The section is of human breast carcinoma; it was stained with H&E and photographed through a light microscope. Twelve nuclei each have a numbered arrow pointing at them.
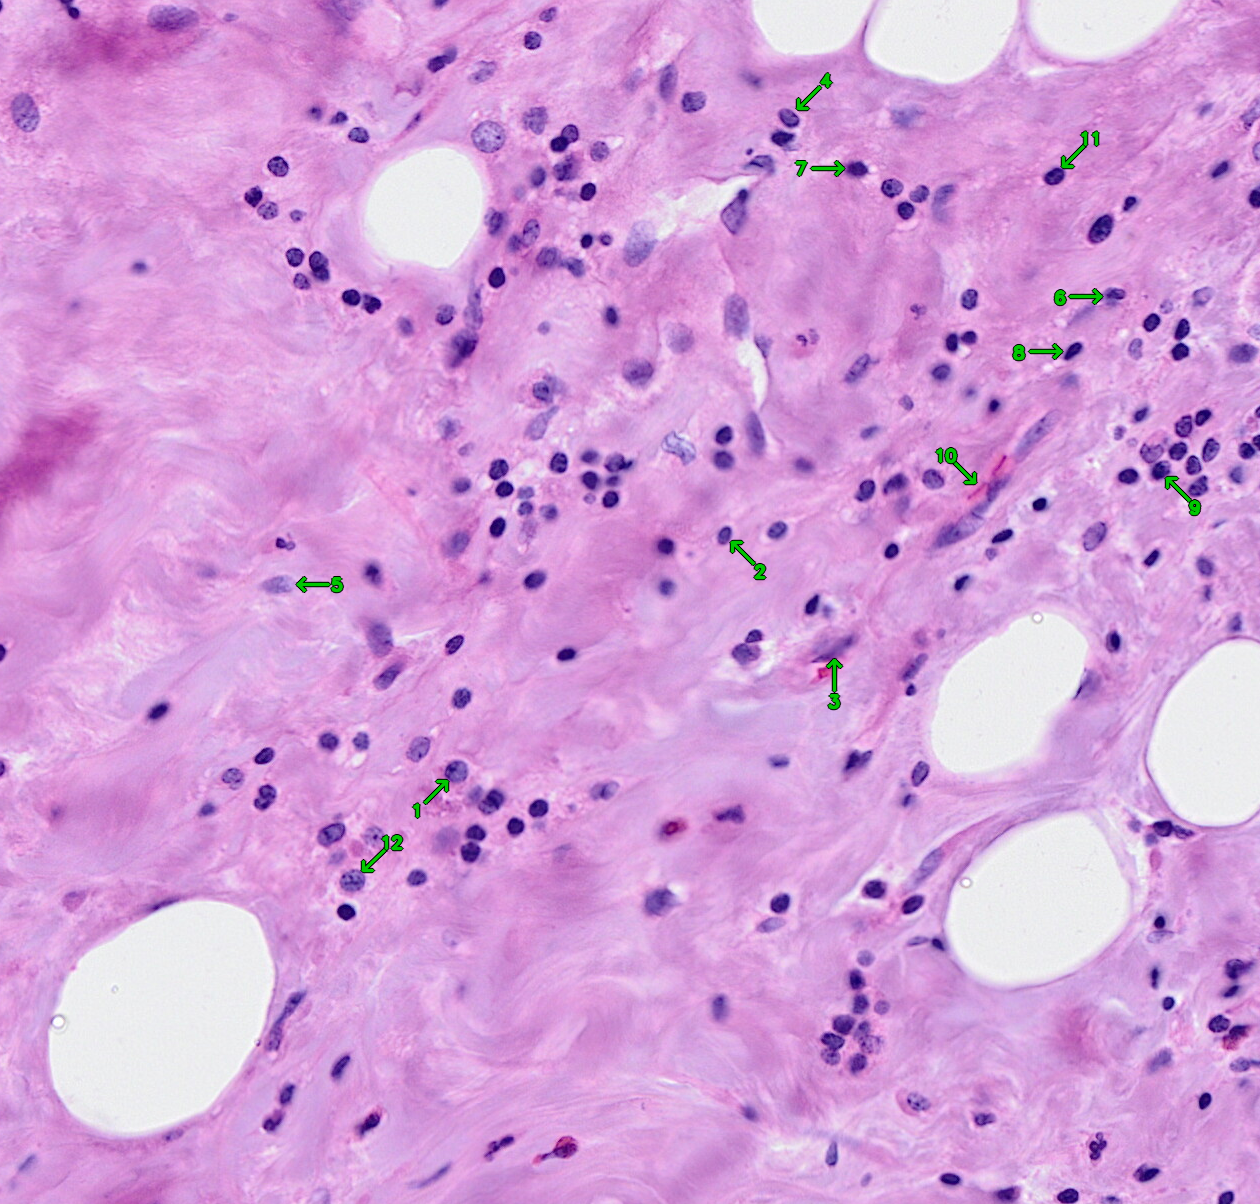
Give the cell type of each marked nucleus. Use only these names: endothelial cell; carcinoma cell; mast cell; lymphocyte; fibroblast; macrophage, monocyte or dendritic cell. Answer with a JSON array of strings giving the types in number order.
["mast cell", "lymphocyte", "endothelial cell", "lymphocyte", "fibroblast", "lymphocyte", "lymphocyte", "lymphocyte", "lymphocyte", "endothelial cell", "lymphocyte", "mast cell"]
